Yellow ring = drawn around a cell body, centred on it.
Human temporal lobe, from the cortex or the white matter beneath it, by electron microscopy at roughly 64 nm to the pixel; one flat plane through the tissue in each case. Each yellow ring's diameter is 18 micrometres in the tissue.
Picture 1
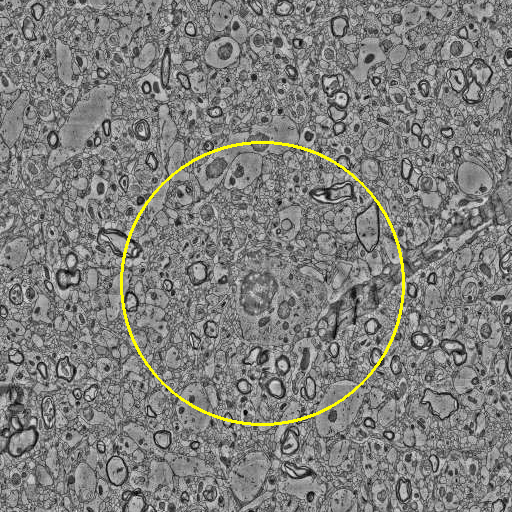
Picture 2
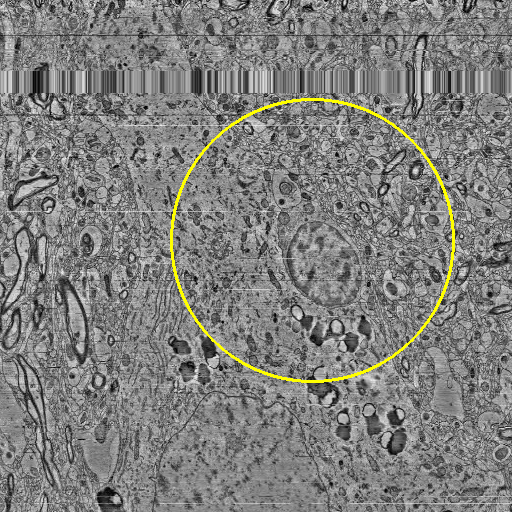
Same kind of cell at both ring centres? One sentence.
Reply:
Yes, they are the same kind of cell.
